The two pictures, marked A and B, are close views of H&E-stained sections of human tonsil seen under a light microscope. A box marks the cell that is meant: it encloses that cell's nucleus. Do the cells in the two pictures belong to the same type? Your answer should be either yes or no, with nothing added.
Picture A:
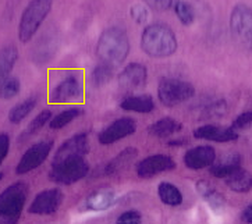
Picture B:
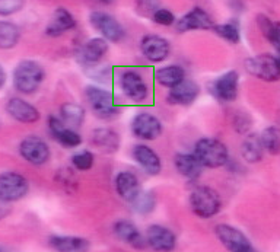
no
